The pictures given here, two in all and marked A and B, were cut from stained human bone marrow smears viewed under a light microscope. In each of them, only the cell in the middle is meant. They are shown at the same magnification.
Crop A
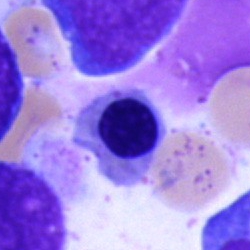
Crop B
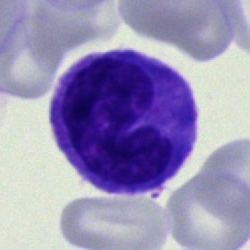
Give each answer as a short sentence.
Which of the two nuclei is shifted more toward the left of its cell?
In crop B the nucleus is shifted more toward the left.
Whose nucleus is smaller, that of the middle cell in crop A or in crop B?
It is the nucleus in crop A; the one in crop B has about 4 times its area.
